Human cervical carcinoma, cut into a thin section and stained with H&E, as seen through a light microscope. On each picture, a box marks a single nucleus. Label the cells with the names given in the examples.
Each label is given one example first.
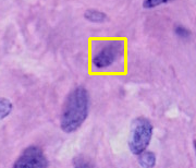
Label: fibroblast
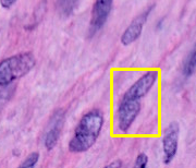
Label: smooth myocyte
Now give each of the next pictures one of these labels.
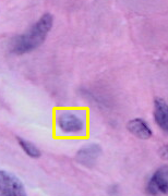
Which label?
fibroblast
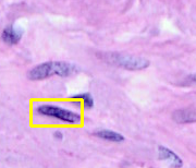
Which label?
fibroblast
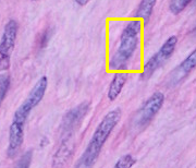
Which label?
smooth myocyte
